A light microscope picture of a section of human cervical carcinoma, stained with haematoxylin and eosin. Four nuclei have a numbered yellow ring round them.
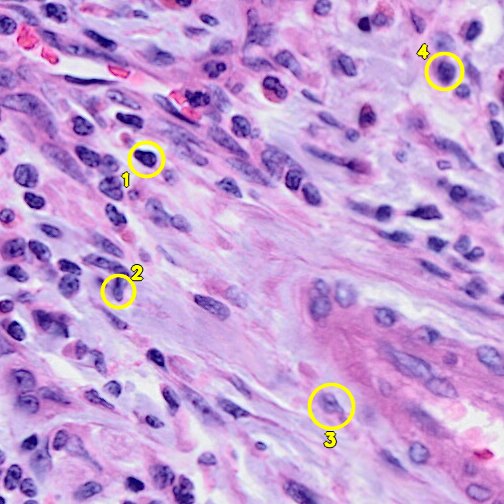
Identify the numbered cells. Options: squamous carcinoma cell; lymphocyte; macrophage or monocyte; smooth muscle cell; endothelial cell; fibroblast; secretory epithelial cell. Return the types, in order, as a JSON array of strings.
["lymphocyte", "lymphocyte", "macrophage or monocyte", "lymphocyte"]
